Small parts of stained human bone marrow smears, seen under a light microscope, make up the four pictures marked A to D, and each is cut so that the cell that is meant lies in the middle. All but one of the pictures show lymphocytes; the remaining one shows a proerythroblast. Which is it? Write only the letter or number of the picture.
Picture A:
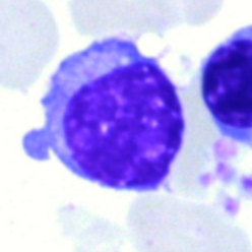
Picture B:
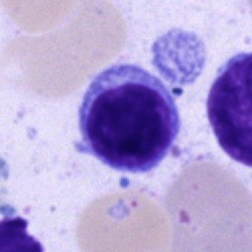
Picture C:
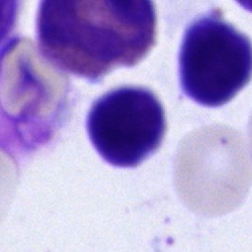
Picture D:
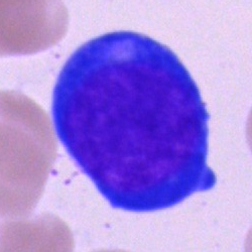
D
